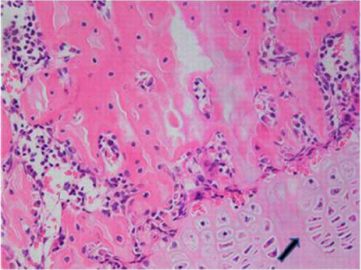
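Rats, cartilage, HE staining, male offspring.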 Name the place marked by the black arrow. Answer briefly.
Chondrocyte proliferative zone.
